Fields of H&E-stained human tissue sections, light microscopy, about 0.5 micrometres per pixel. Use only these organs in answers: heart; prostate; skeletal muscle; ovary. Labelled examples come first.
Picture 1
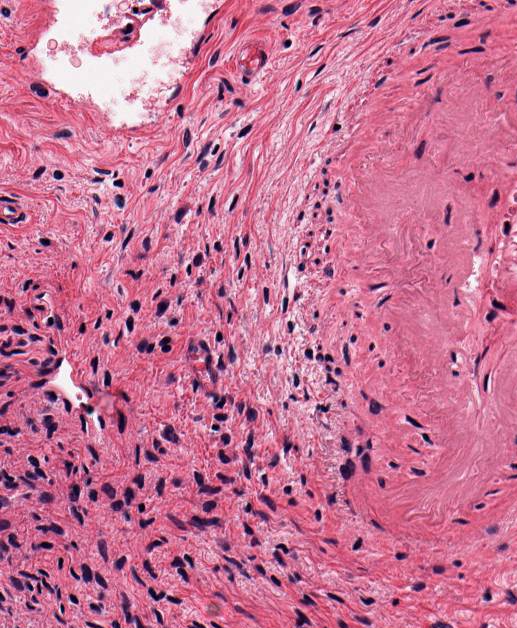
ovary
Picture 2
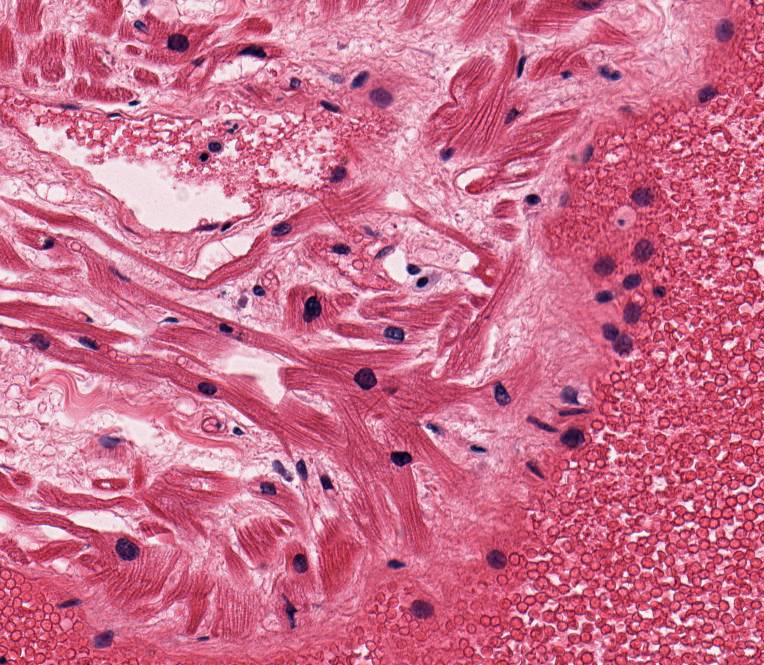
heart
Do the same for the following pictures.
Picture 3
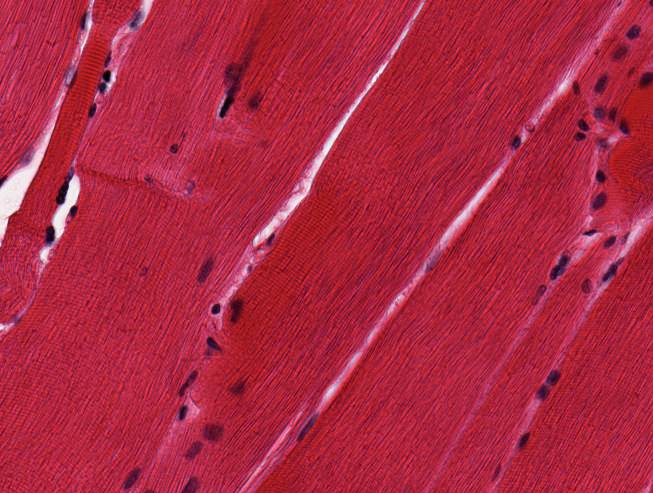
skeletal muscle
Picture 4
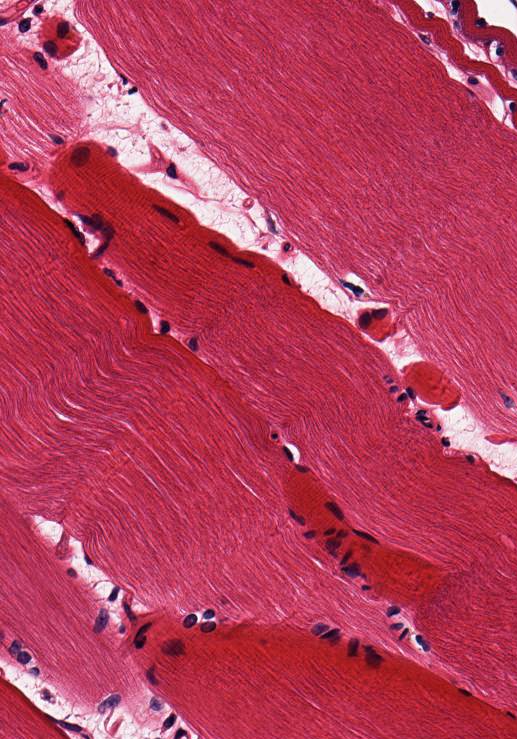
skeletal muscle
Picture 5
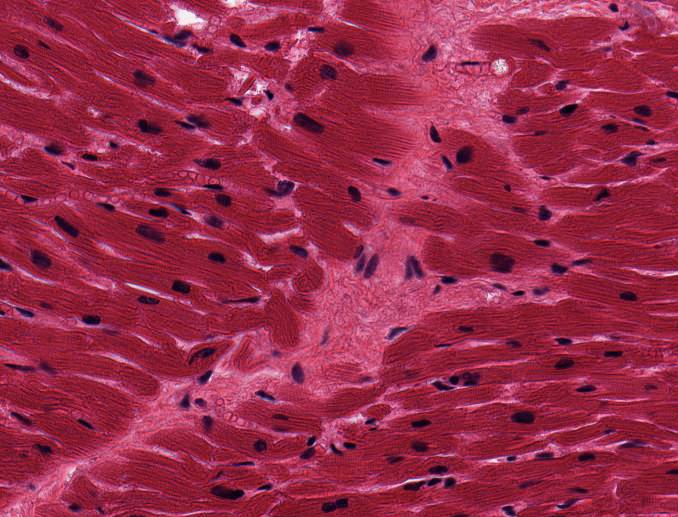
heart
